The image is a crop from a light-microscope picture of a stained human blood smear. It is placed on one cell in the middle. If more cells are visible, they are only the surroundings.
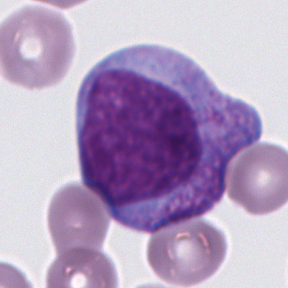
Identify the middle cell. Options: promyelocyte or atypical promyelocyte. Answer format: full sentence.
Of the cells in this crop, the central one is an atypical promyelocyte.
